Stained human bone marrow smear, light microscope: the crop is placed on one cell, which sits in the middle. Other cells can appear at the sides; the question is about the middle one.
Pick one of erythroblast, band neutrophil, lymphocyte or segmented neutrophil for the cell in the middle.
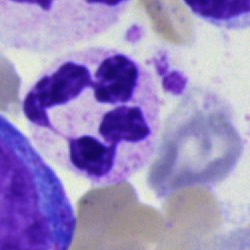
segmented neutrophil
